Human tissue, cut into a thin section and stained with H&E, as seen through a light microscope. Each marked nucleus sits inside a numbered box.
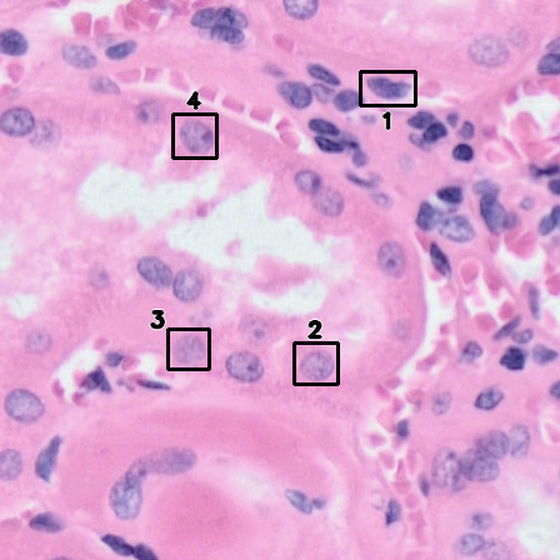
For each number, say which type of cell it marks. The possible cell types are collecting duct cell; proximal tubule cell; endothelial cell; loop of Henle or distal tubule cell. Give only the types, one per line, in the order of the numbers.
endothelial cell
proximal tubule cell
proximal tubule cell
proximal tubule cell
